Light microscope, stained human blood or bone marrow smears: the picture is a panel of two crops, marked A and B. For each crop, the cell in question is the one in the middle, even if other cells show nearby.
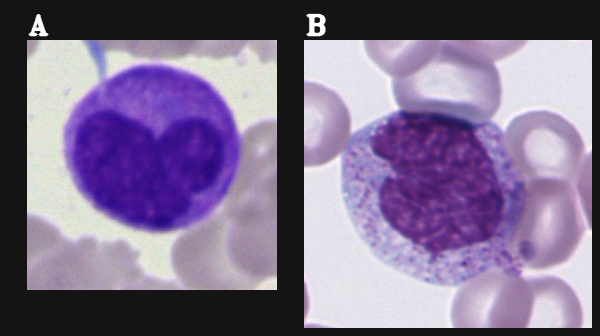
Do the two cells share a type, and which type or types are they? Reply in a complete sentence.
No, what crop A shows is a monocyte, and what crop B shows is a myelocyte.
